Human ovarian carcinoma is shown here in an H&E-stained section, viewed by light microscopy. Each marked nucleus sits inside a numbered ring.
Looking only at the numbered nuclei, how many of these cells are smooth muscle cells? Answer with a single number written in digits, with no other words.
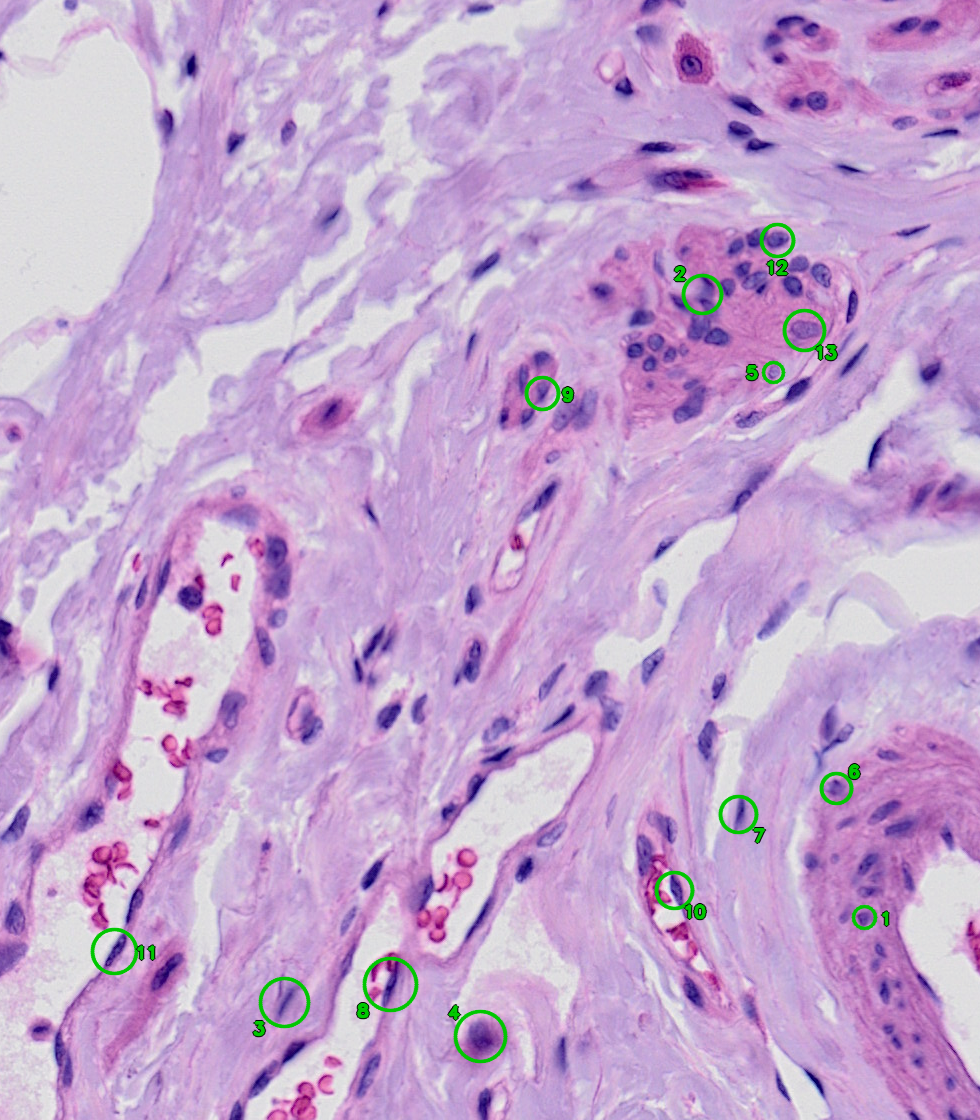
7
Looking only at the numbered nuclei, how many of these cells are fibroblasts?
2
